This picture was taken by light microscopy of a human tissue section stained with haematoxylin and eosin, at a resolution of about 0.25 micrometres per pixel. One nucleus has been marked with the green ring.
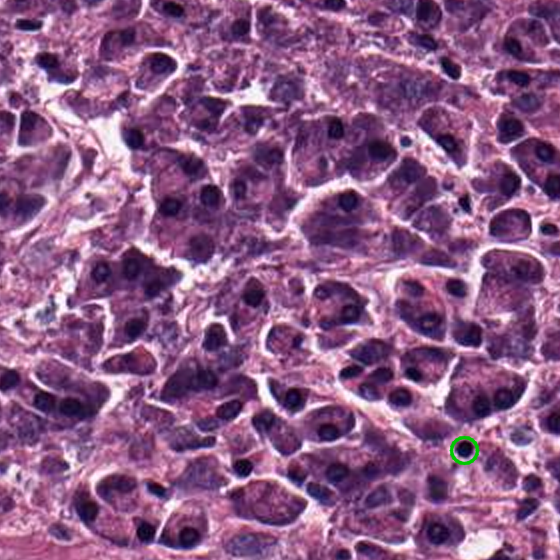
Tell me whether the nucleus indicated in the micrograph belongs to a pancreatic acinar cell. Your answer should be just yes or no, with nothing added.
no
